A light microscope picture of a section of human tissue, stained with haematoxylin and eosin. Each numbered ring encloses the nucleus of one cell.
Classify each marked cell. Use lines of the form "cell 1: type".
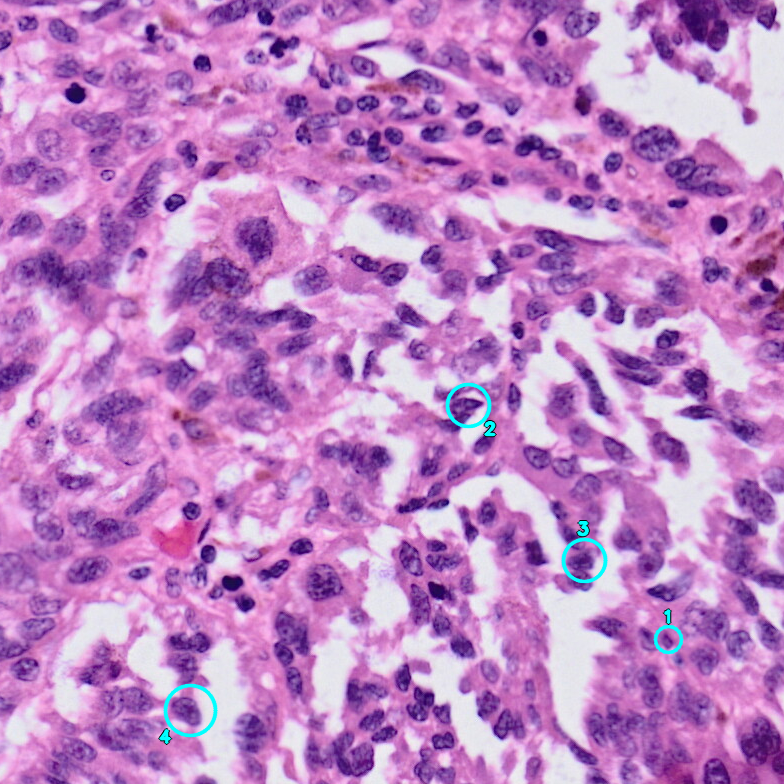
cell 1: macrophage or monocyte
cell 2: melanoma cell
cell 3: melanoma cell
cell 4: melanoma cell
